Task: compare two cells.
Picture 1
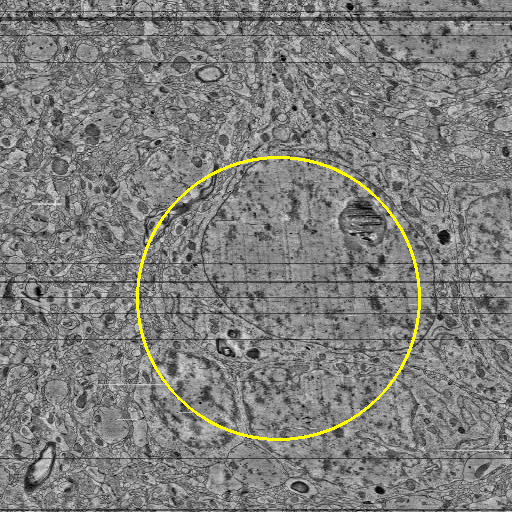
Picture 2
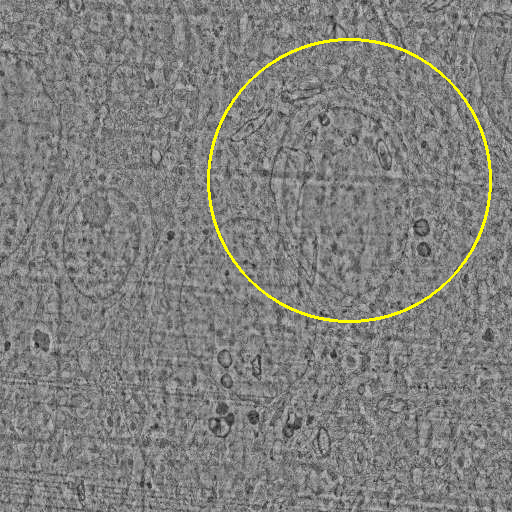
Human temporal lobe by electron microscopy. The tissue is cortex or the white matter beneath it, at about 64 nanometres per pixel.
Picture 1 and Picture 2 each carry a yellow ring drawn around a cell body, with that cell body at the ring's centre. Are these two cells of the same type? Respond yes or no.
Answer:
yes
